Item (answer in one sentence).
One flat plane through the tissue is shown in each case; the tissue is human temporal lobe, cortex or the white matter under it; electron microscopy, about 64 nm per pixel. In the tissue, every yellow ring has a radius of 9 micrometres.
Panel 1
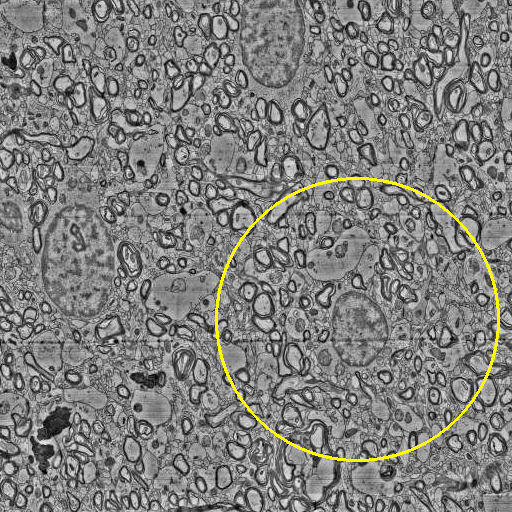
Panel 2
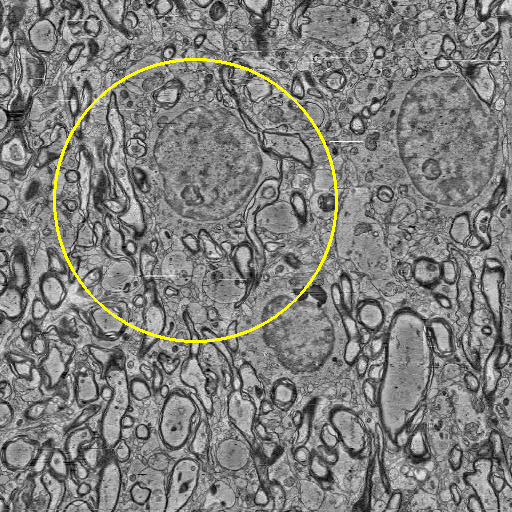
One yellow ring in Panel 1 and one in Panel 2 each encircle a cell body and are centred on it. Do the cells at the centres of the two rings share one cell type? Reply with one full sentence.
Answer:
Yes, Panel 1 and Panel 2 show cells of one type at the centres of their rings.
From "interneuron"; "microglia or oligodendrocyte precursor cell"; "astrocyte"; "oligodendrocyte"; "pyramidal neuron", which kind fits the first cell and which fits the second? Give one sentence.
In each picture the ringed cell is an oligodendrocyte.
